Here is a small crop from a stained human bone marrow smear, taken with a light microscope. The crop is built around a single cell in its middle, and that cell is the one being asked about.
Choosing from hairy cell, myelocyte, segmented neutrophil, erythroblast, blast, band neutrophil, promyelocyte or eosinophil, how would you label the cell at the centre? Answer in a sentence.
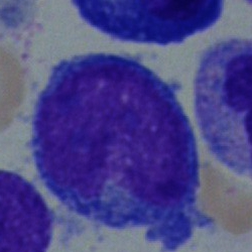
The cell under consideration, at the middle of the crop, is a blast.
